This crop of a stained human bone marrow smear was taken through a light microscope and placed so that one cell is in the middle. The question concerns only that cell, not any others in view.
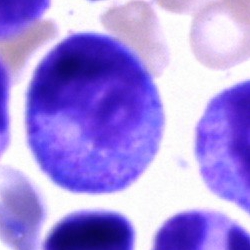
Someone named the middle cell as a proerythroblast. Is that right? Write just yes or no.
no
